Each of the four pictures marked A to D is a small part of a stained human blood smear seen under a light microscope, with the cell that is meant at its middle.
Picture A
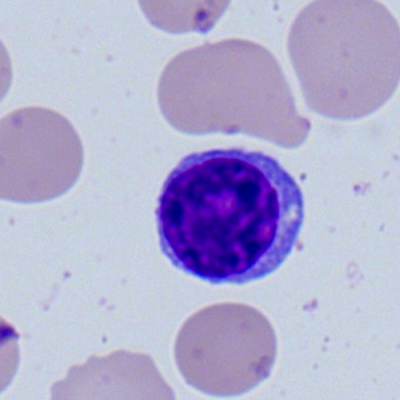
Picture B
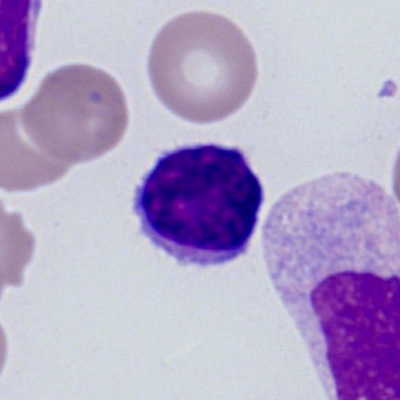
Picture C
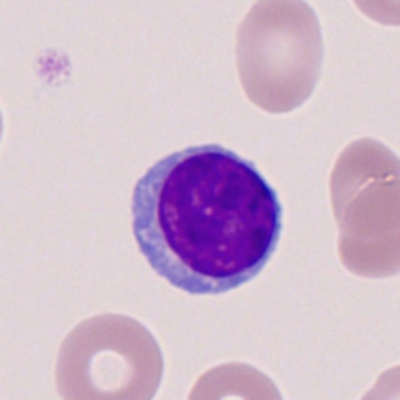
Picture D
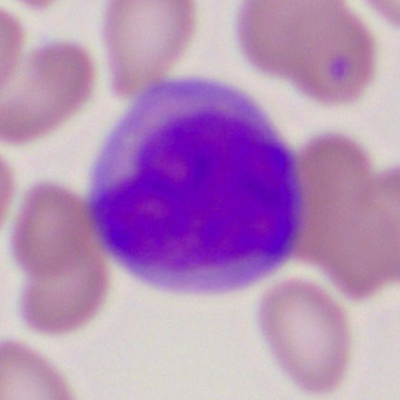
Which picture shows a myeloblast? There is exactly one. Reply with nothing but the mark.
D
